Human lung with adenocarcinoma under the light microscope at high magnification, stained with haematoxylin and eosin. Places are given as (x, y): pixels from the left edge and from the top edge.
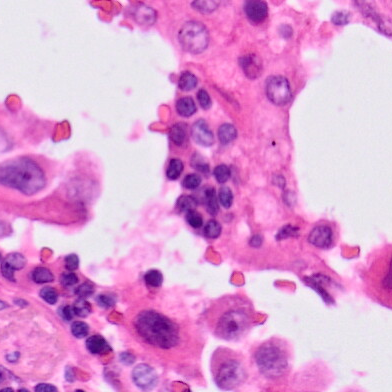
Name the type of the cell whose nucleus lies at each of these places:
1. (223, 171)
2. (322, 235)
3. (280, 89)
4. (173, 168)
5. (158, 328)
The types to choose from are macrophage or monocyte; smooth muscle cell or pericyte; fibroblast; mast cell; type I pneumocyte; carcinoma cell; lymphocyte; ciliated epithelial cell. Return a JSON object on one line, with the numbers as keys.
{"1": "lymphocyte", "2": "macrophage or monocyte", "3": "macrophage or monocyte", "4": "lymphocyte", "5": "carcinoma cell"}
